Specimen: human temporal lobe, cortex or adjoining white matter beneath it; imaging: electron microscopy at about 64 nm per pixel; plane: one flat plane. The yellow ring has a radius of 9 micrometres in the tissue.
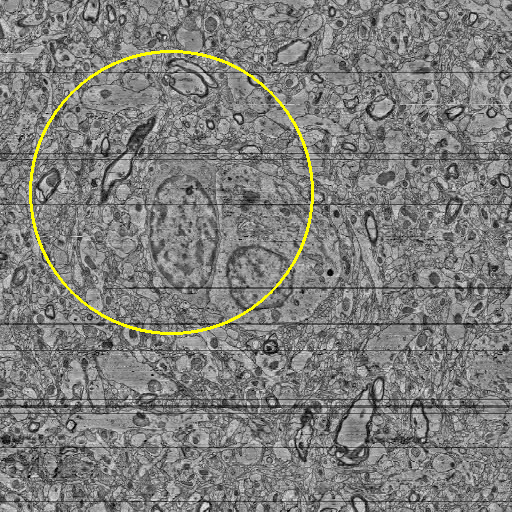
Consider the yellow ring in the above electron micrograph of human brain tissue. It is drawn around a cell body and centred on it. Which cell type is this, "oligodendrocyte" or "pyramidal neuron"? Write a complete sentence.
The cell in question is an oligodendrocyte.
